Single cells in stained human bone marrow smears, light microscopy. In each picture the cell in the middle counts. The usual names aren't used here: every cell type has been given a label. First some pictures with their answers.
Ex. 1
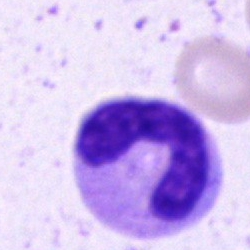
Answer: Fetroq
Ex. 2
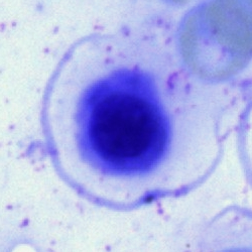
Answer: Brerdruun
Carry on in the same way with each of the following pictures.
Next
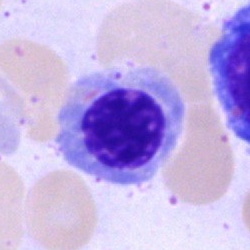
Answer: Brerdruun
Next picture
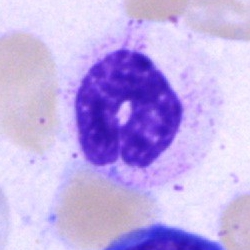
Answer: Fetroq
